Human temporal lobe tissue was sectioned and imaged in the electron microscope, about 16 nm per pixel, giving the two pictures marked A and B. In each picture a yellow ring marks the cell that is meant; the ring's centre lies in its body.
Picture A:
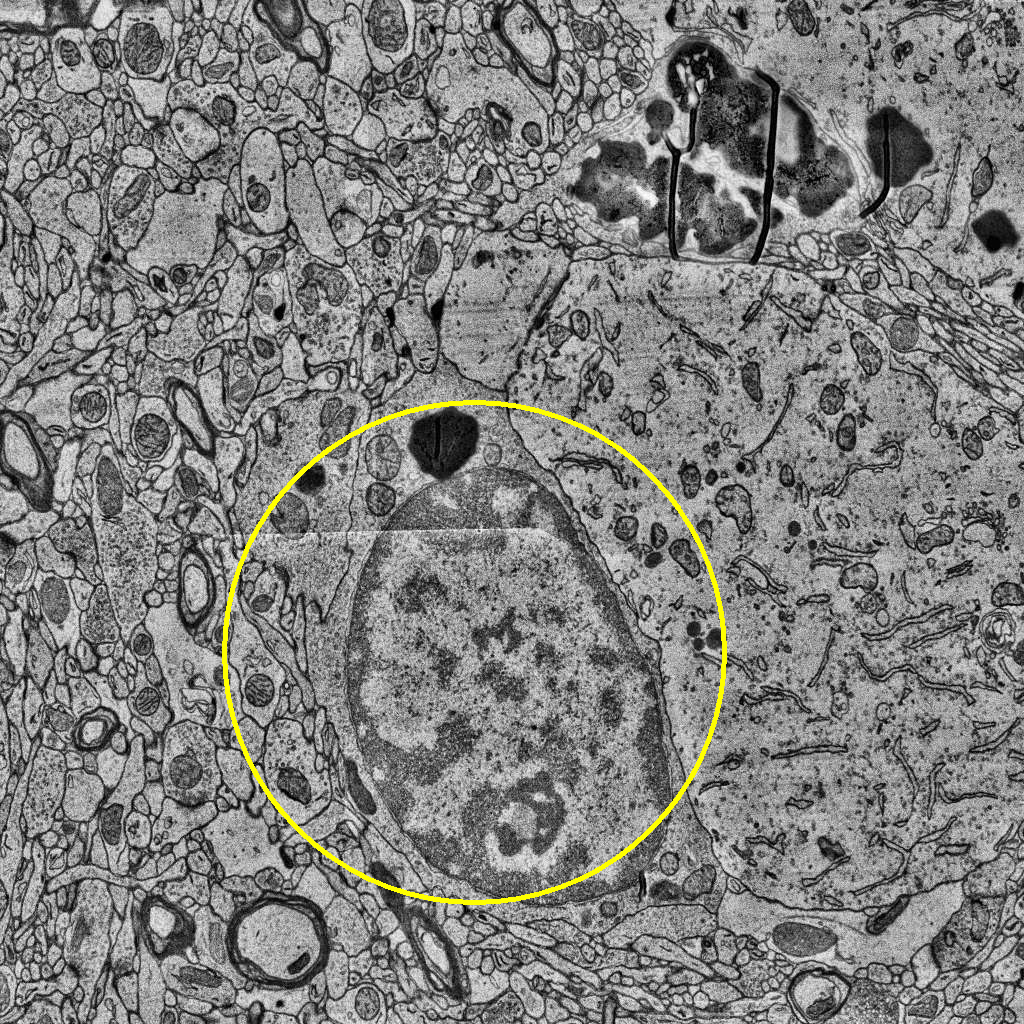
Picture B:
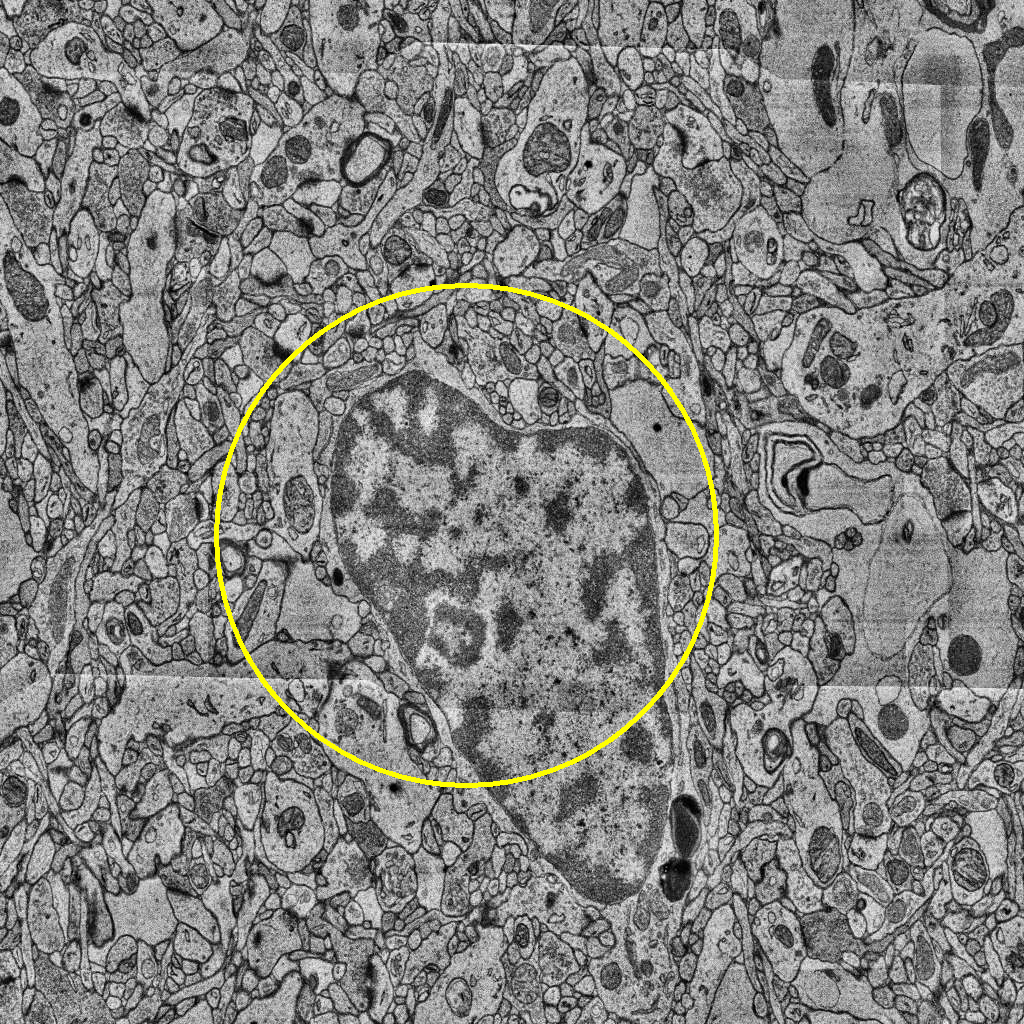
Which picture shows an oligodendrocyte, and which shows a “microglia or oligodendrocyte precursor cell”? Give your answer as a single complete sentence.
Picture A is of an oligodendrocyte, and picture B is of a “microglia or oligodendrocyte precursor cell”.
